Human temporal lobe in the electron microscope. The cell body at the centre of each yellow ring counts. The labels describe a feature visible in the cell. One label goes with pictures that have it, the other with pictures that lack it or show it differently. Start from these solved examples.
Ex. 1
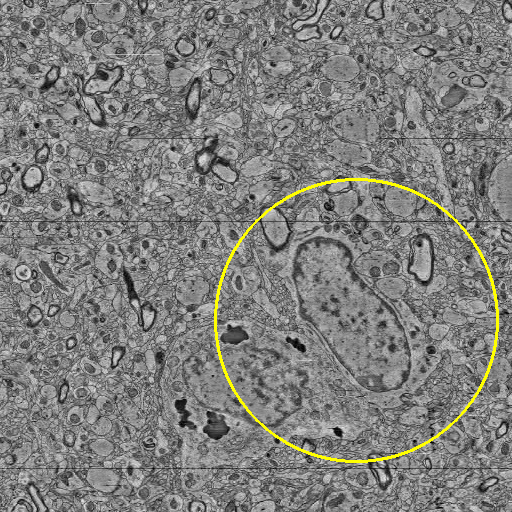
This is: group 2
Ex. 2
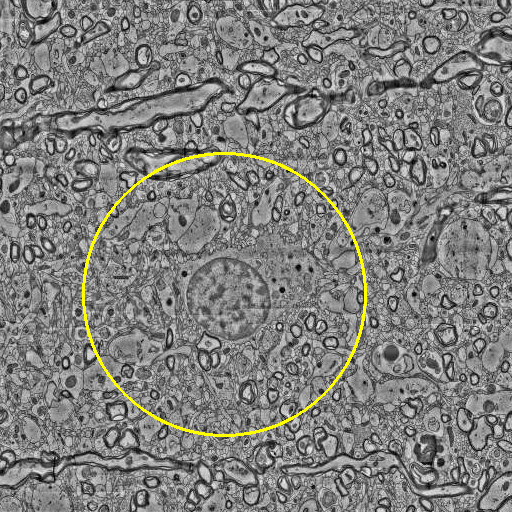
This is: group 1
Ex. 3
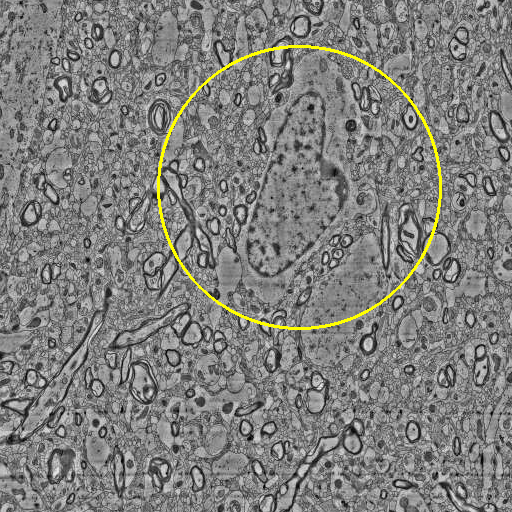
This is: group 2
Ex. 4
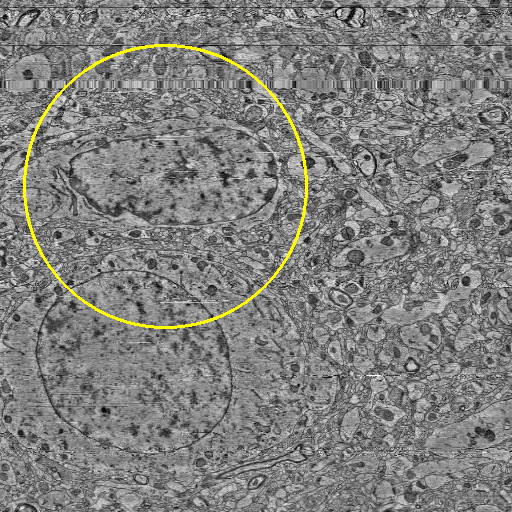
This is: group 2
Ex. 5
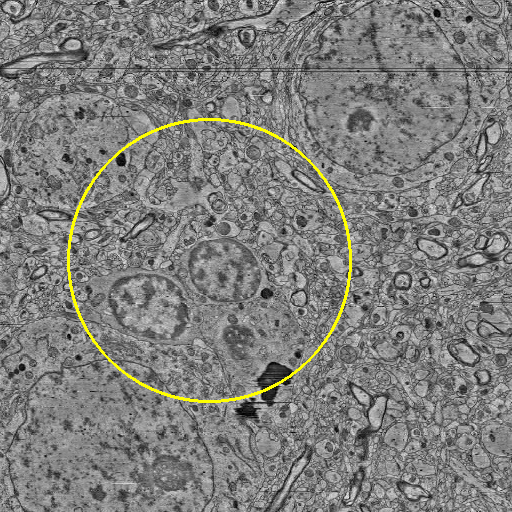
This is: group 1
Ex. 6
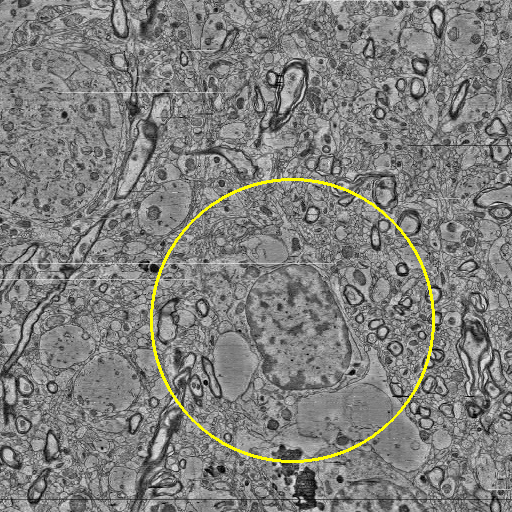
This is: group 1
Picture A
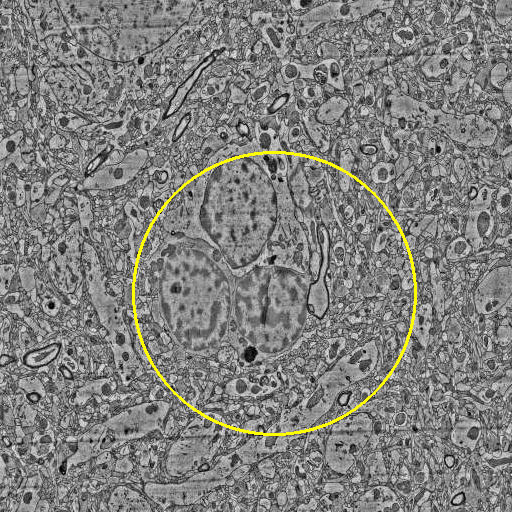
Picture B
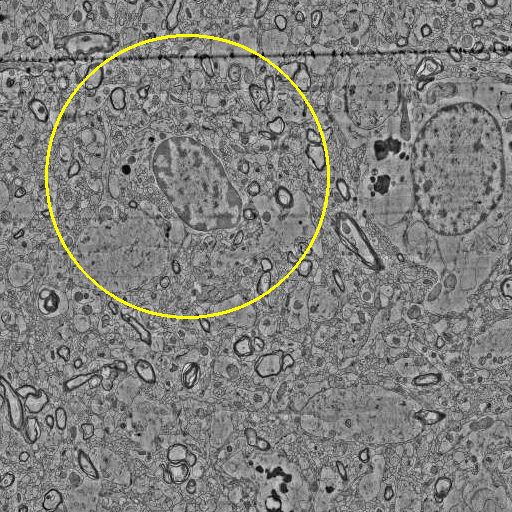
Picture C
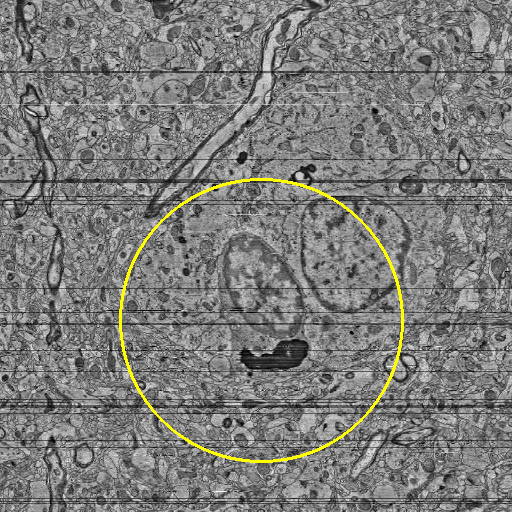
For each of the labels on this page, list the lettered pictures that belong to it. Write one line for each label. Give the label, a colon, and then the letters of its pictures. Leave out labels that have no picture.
group 2: B, C
group 1: A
